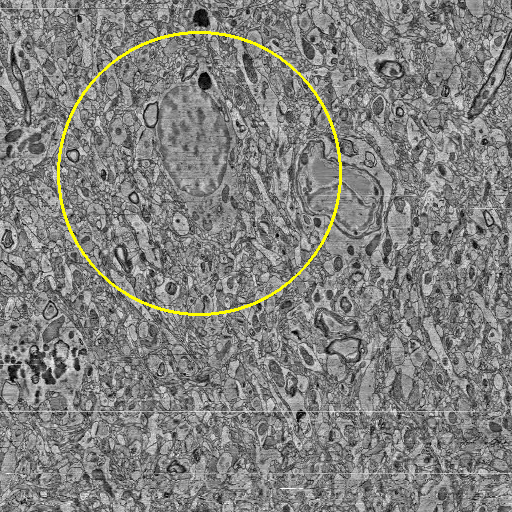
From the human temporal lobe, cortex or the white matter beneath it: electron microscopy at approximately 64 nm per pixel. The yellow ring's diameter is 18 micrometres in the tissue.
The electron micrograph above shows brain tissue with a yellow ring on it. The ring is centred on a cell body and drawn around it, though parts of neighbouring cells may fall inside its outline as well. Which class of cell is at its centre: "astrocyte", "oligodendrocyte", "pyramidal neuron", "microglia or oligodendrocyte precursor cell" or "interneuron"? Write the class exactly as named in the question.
oligodendrocyte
